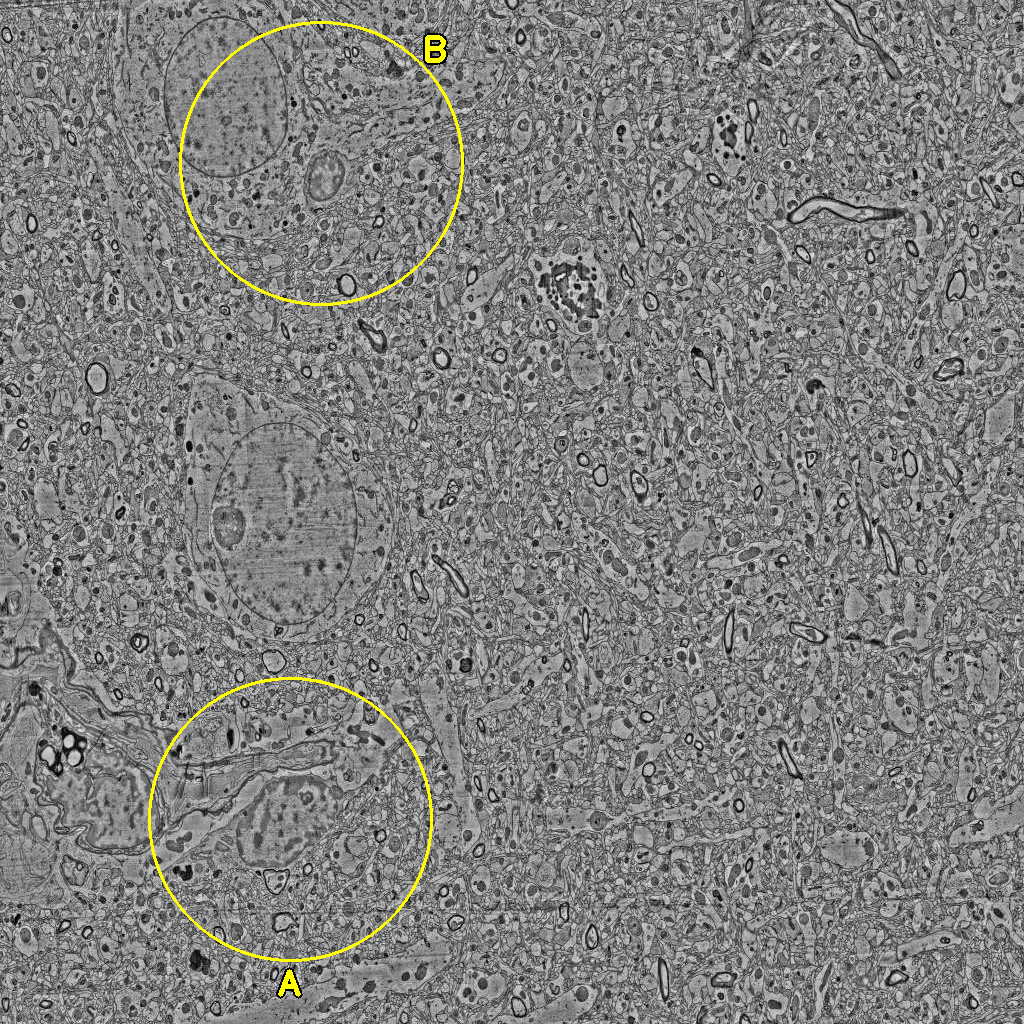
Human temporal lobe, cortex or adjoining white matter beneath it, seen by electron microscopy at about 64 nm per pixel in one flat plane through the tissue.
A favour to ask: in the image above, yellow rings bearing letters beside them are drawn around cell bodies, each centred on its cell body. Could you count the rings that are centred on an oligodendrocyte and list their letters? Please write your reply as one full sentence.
Marked by the letters A and B, two rings are each centred on an oligodendrocyte.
